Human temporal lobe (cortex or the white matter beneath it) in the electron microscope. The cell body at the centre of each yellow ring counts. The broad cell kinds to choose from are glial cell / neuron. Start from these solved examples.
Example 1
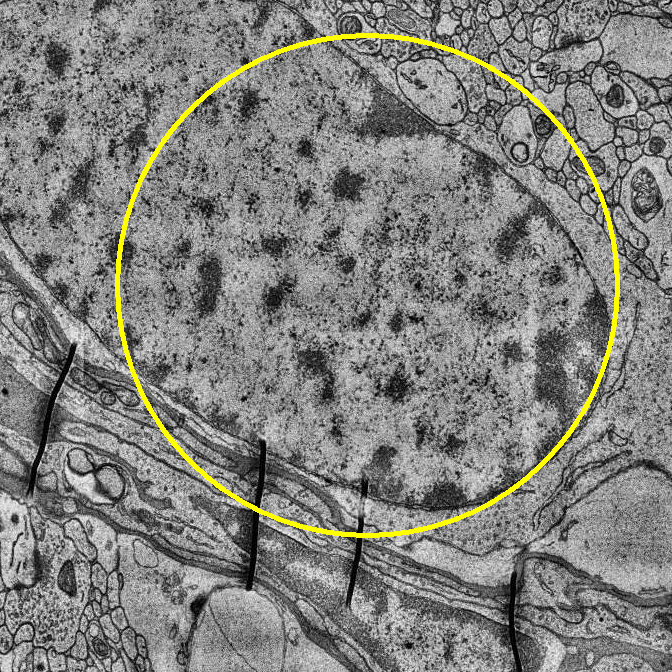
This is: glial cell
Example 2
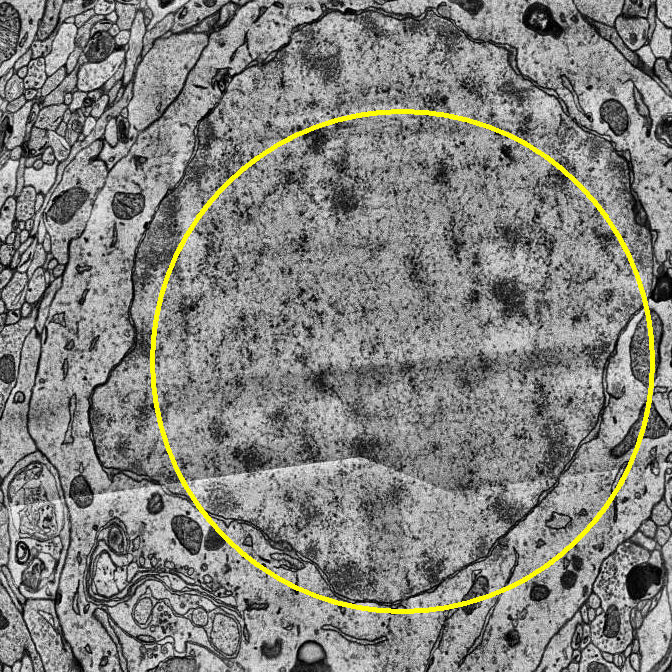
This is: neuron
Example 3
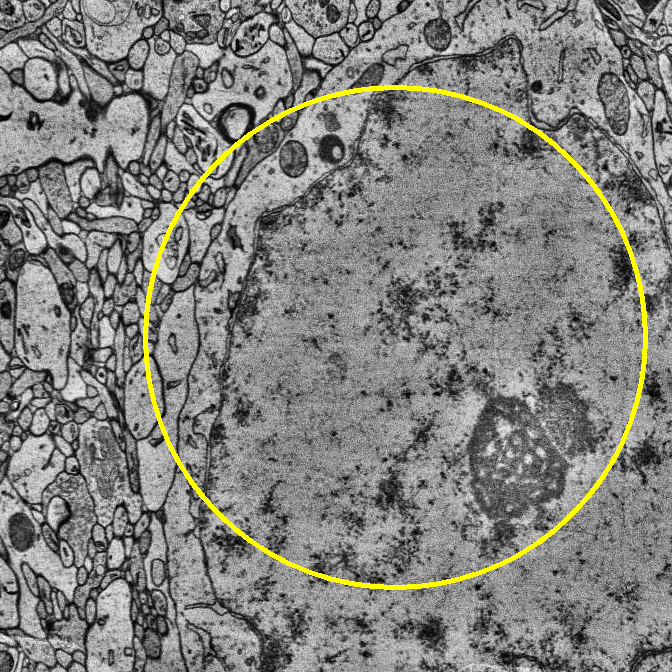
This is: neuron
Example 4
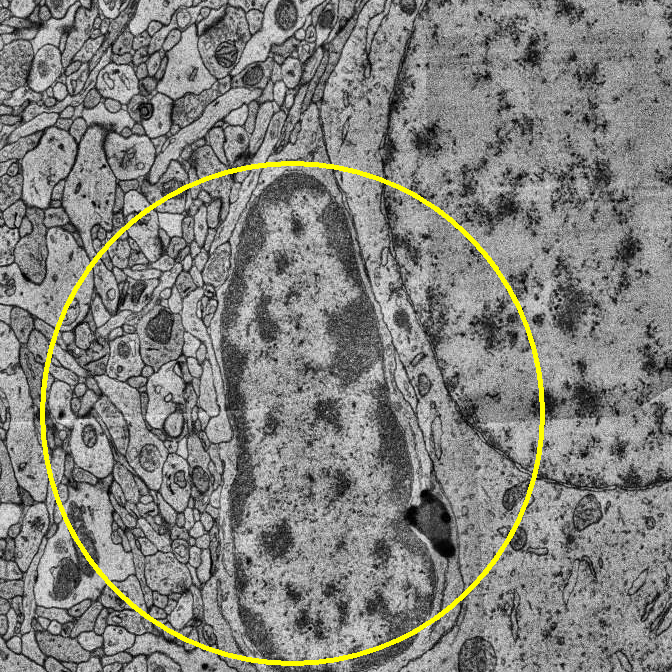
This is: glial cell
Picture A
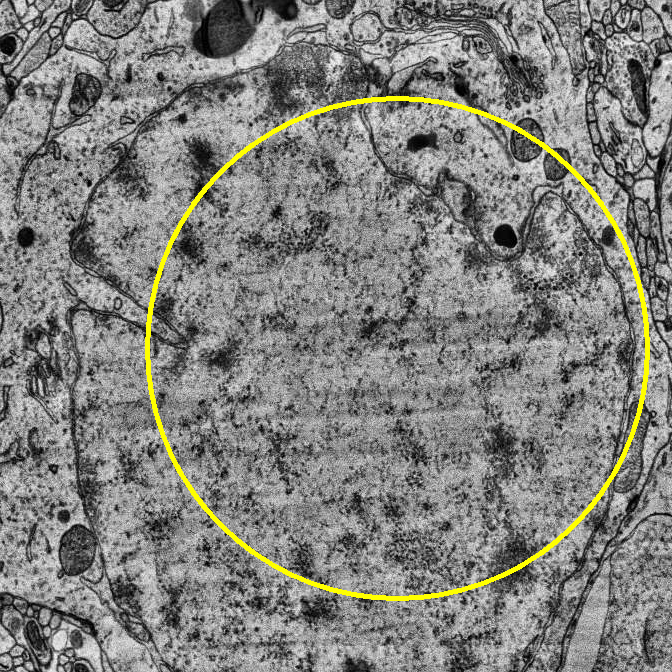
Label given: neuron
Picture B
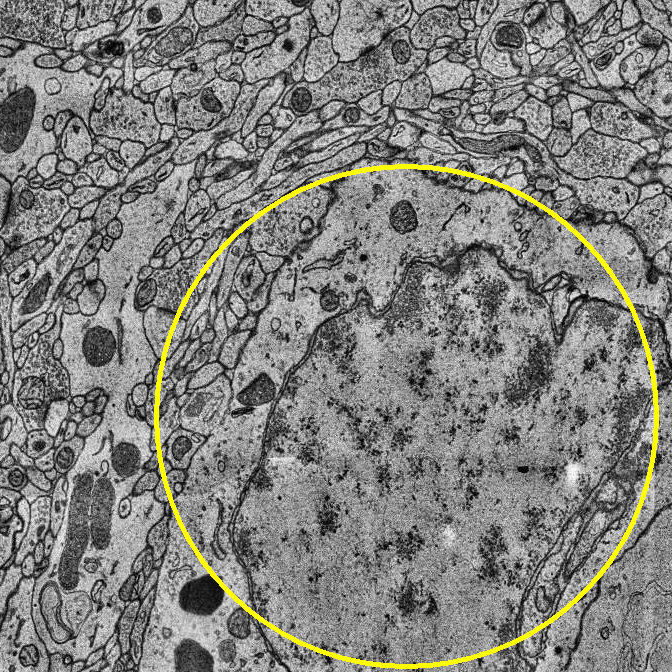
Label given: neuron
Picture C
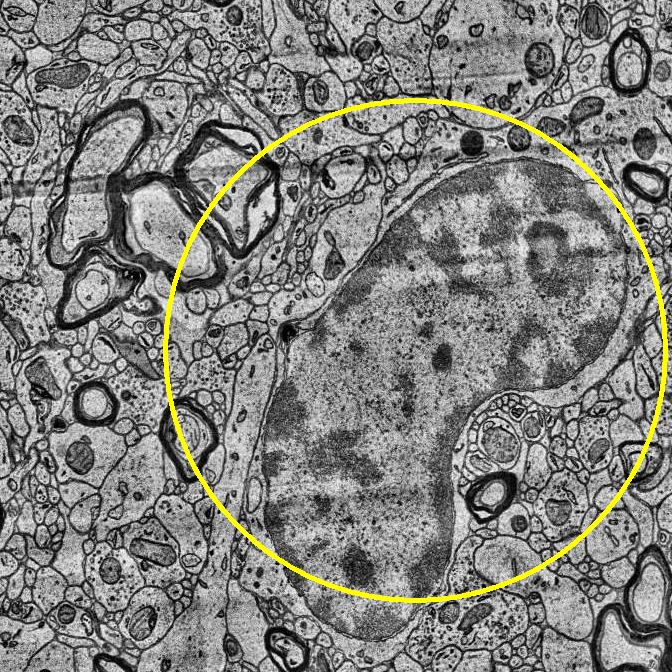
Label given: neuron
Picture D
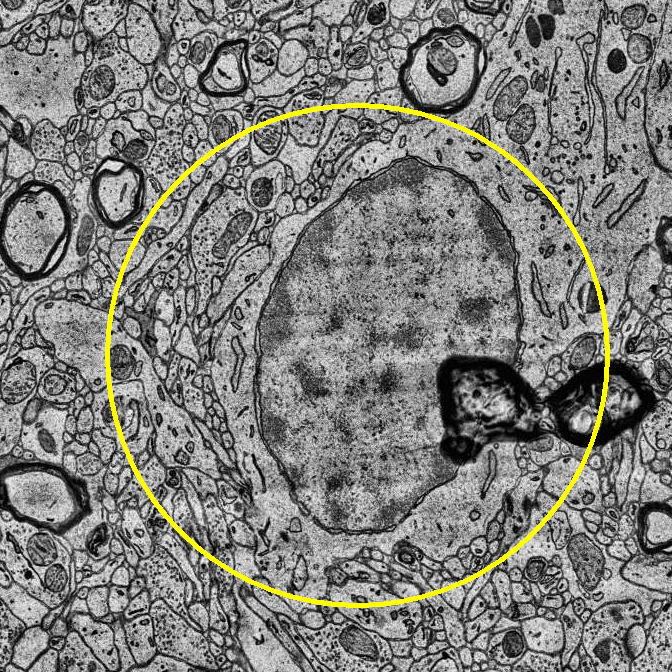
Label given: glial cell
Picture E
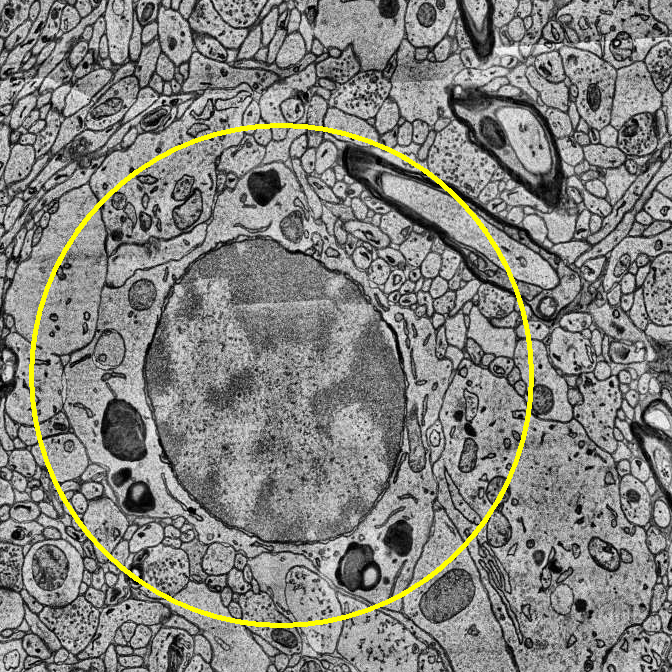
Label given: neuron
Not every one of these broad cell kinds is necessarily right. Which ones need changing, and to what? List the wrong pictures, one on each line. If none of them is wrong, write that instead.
Wrong: C (neuron); correct: glial cell
Wrong: E (neuron); correct: glial cell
